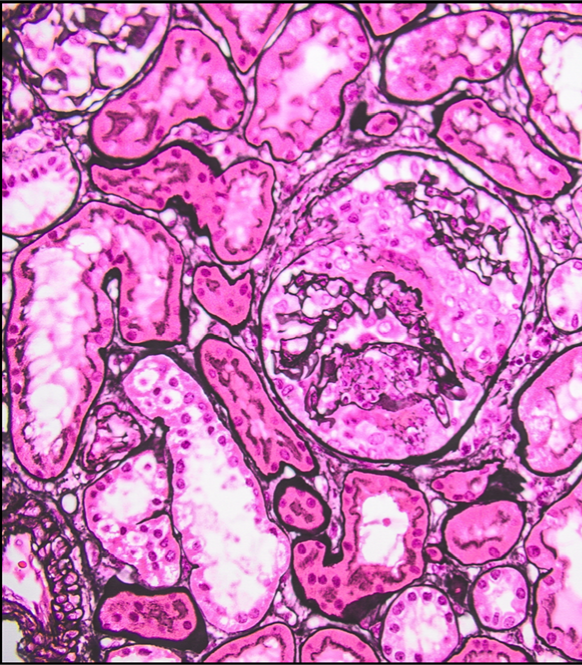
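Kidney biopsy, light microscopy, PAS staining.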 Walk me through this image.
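A glomerulus with a cellular crescent sits in the middle of renal cortex, surrounded by tubules. The glomerulus is round and bounded by a thin dark capsule. Within it, layered pale pink cells with round nuclei fill much of the urinary space. Around the glomerulus, tubules are cut in cross and oblique section. Their epithelium is bright pink with round nuclei. Their basement membranes show as crisp black outlines, and some lumina are pale and open. A small vessel with a dark wall lies at the lower left corner.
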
